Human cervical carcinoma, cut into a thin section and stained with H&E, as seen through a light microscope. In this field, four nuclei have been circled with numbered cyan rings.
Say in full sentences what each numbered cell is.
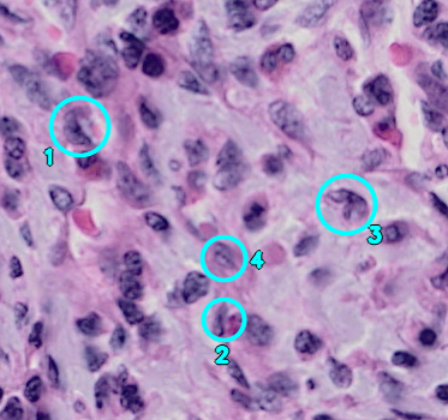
Cells 1, 2 and 4 are endothelial cells. Cell 3 is a macrophage or monocyte.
